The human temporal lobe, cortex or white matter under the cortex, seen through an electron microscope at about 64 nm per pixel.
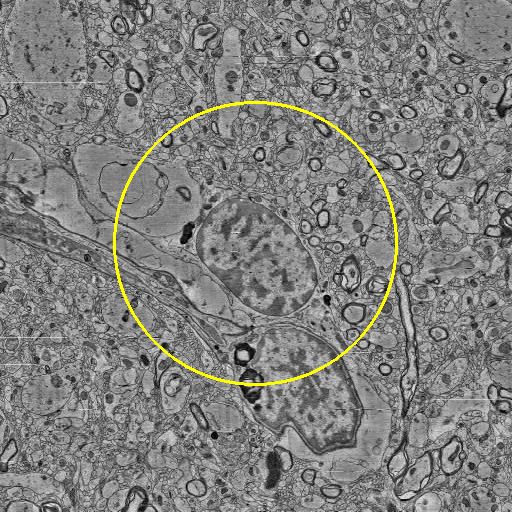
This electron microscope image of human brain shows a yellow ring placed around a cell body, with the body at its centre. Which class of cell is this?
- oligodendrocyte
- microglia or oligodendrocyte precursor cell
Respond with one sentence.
The cell body at the ring's centre is a microglial cell or oligodendrocyte precursor cell.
